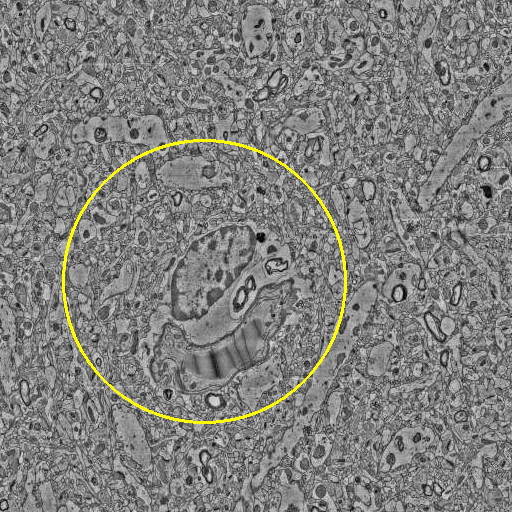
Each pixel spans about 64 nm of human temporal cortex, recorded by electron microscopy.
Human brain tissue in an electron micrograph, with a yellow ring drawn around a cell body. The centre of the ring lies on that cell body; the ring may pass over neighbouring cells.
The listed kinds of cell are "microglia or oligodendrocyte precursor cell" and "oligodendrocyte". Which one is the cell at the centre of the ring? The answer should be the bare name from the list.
microglia or oligodendrocyte precursor cell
